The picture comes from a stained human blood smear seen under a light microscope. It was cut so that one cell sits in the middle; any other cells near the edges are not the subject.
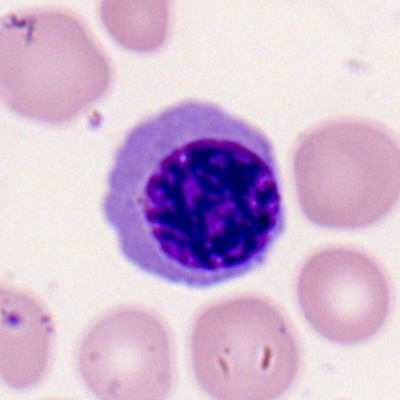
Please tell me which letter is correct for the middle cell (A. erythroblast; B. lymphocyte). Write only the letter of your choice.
A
